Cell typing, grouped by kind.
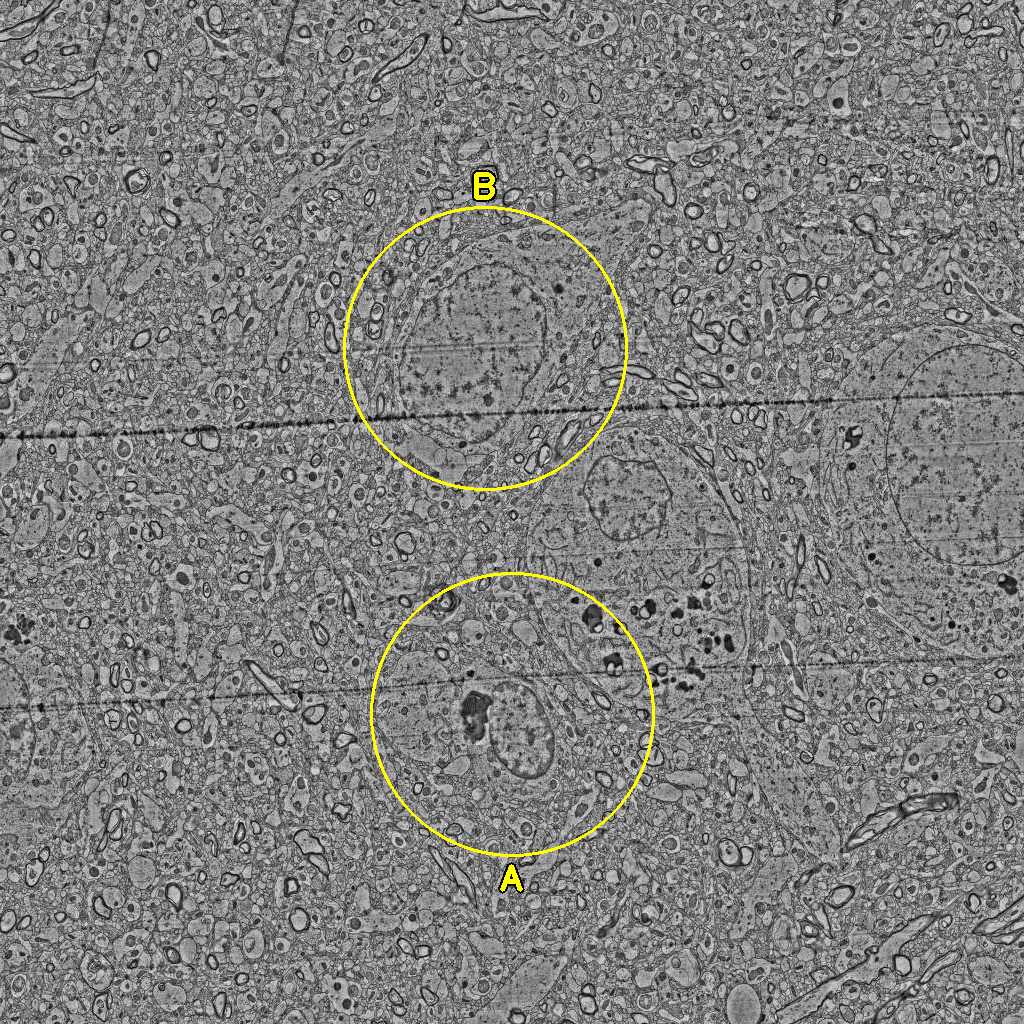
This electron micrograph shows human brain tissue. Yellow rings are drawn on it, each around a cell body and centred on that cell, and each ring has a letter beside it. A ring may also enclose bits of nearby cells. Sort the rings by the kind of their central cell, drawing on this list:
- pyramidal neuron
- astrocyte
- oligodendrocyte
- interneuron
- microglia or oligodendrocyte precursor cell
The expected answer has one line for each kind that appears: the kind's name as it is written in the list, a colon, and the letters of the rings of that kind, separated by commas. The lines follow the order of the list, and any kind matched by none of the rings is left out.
pyramidal neuron: B
oligodendrocyte: A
